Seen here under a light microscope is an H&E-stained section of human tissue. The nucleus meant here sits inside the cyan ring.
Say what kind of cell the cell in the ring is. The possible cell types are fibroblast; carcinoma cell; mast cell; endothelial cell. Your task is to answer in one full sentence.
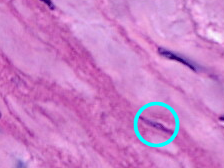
To be brief about it, the cell in the ring is a fibroblast.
